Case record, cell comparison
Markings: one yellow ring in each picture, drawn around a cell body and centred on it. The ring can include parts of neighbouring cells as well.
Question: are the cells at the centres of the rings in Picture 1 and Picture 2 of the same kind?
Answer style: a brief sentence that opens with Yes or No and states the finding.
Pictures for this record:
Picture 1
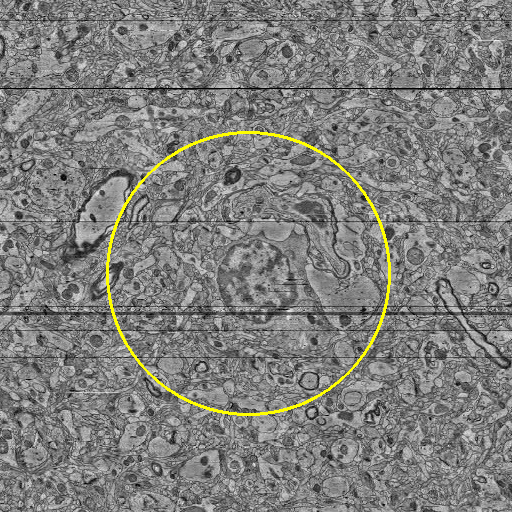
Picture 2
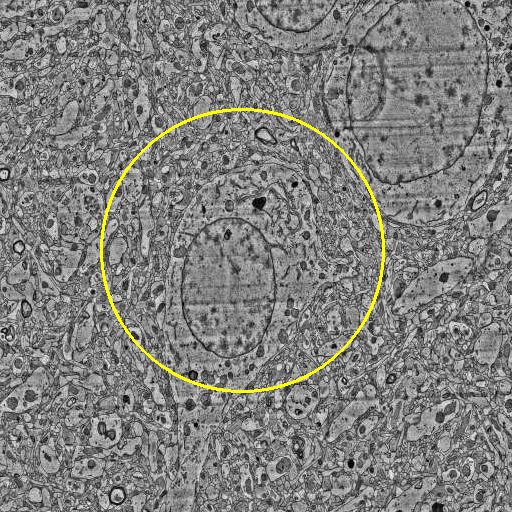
No, the cells in Picture 1 and Picture 2 are of two kinds.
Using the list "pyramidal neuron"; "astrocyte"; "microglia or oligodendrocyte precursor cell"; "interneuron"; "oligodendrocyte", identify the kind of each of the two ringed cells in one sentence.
The first is an oligodendrocyte and the second is a pyramidal neuron.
